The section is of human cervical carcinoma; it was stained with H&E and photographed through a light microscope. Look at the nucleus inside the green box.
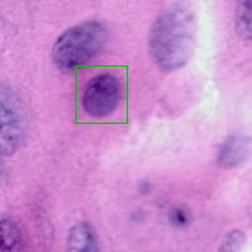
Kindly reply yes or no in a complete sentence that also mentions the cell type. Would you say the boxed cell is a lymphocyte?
No, the boxed cell is recognized as a squamous carcinoma cell rather than a lymphocyte.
